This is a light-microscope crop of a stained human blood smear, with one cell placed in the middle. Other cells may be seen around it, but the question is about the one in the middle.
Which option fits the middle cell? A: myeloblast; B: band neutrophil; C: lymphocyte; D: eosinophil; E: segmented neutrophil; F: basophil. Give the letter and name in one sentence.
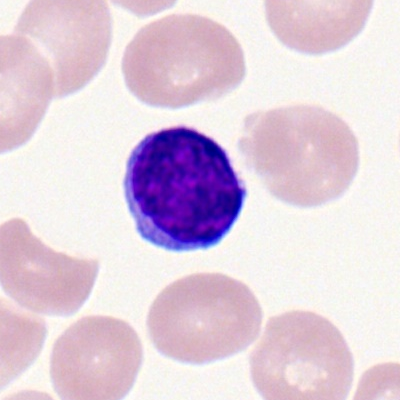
Since the middle cell is a lymphocyte, option C is the right one.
